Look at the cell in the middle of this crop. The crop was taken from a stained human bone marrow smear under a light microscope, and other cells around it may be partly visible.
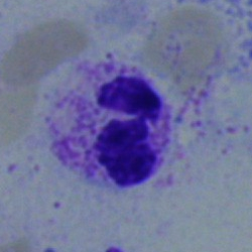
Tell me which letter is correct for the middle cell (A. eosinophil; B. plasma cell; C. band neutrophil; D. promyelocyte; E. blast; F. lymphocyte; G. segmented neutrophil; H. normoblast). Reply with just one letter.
G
